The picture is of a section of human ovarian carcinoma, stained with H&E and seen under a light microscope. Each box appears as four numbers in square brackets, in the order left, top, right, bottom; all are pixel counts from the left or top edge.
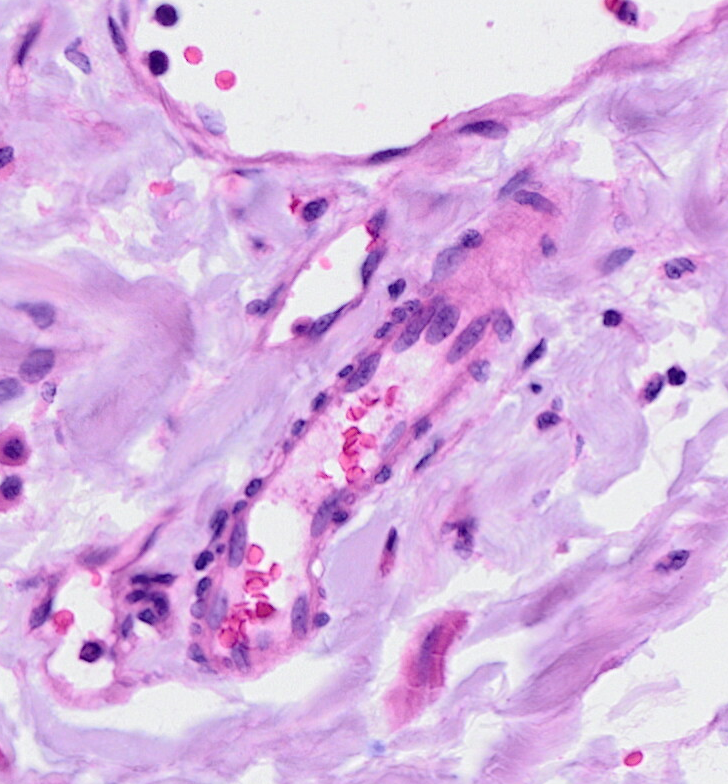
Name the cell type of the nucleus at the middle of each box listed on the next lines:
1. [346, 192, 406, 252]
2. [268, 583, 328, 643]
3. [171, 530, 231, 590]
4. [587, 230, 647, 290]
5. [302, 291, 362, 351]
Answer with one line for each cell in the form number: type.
1: endothelial cell
2: endothelial cell
3: lymphocyte
4: fibroblast
5: endothelial cell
